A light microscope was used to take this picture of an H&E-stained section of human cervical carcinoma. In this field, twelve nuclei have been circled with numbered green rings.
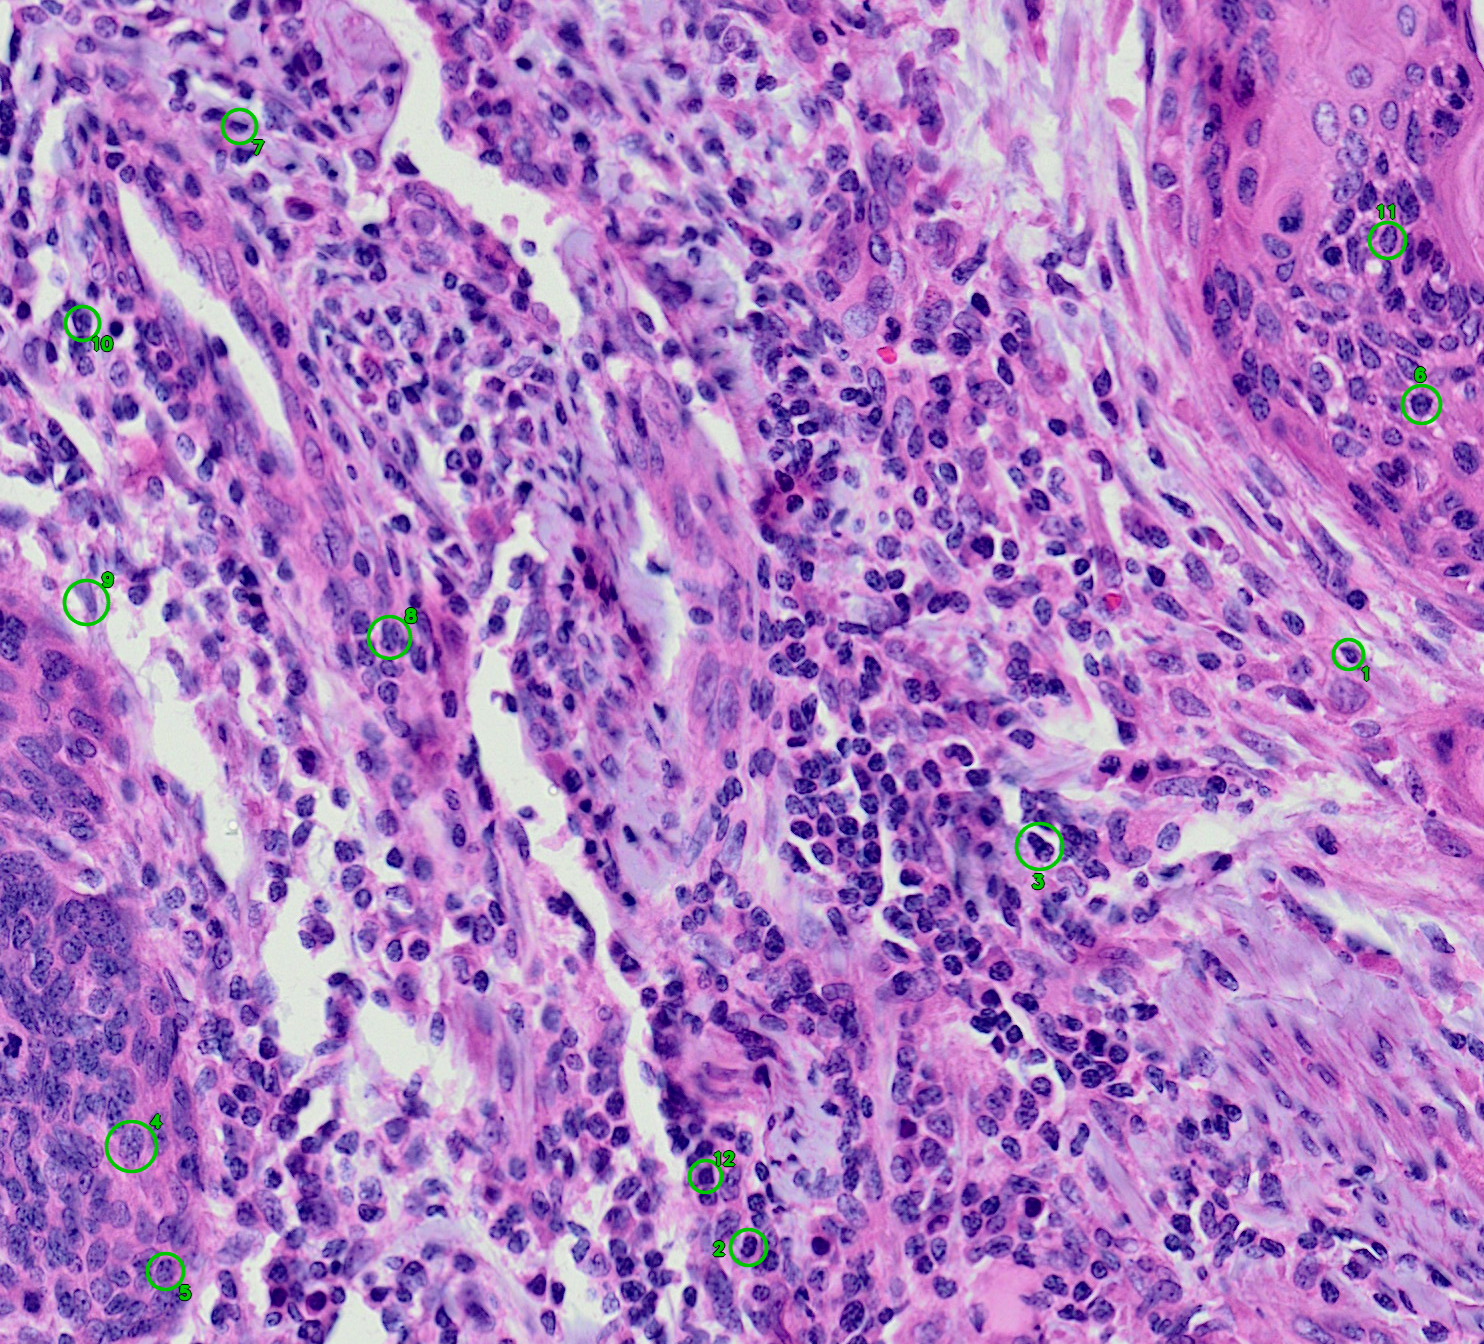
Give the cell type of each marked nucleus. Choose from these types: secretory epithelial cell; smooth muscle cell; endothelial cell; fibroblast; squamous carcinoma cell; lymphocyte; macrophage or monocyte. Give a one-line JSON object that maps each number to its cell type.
{"1": "lymphocyte", "2": "lymphocyte", "3": "lymphocyte", "4": "squamous carcinoma cell", "5": "squamous carcinoma cell", "6": "squamous carcinoma cell", "7": "lymphocyte", "8": "lymphocyte", "9": "fibroblast", "10": "lymphocyte", "11": "squamous carcinoma cell", "12": "lymphocyte"}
